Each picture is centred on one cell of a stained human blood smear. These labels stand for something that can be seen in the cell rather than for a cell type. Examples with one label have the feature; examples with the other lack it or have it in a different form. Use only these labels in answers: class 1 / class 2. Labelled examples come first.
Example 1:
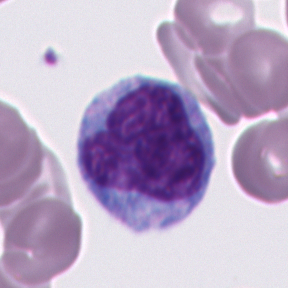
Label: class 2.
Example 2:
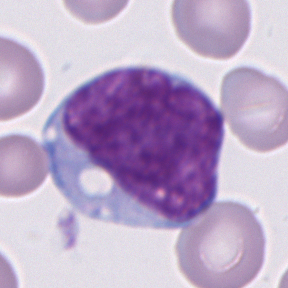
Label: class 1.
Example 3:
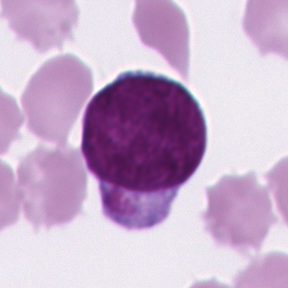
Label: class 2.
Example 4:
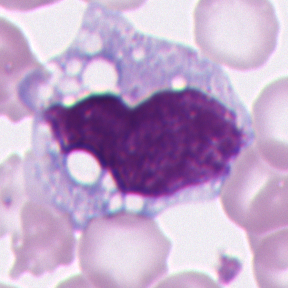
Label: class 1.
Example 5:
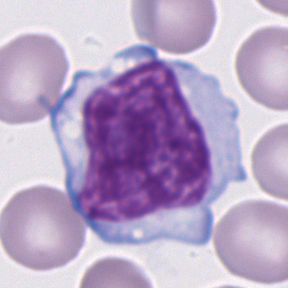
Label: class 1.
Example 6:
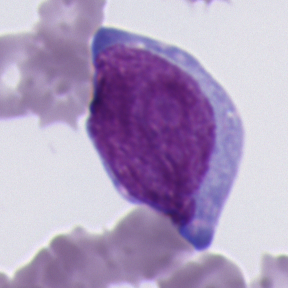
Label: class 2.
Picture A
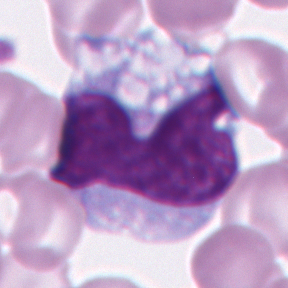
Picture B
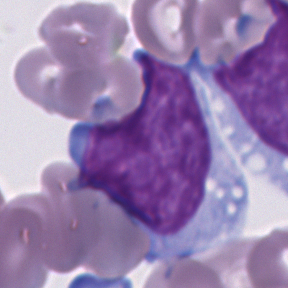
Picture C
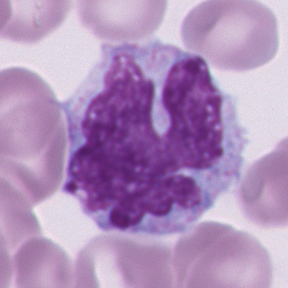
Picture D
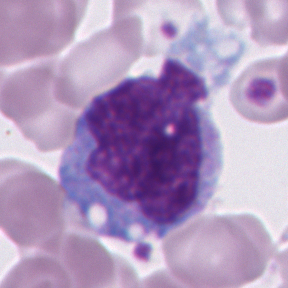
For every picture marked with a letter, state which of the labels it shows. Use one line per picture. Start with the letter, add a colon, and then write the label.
A: class 1.
B: class 1.
C: class 2.
D: class 1.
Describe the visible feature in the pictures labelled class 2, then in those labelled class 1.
class 2, no vacuoles; class 1, vacuoles present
